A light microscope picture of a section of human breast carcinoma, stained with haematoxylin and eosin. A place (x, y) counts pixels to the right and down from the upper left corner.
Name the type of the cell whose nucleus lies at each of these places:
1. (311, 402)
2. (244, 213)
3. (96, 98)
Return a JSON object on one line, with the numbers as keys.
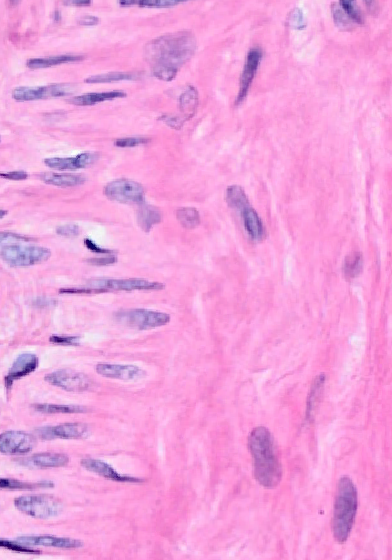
{"1": "fibroblast", "2": "fibroblast", "3": "endothelial cell"}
